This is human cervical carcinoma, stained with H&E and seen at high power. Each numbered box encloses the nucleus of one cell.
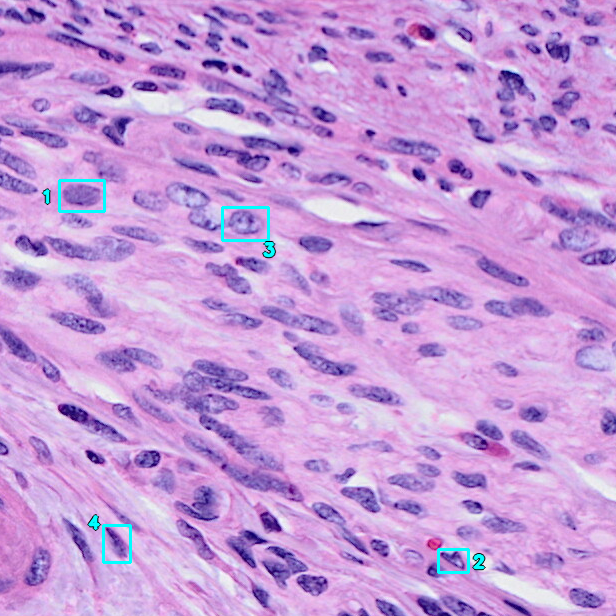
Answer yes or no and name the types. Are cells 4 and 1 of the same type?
Yes, cells 4 and 1 are both fibroblasts.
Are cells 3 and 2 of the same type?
Yes, cell 3 is one of the endothelial cells, and so is cell 2.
